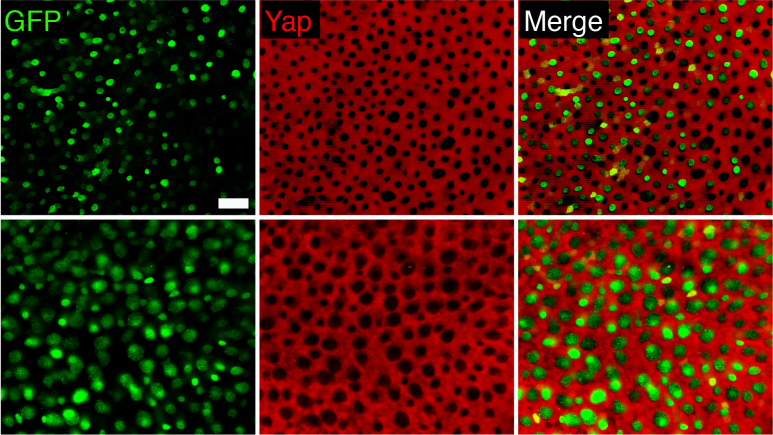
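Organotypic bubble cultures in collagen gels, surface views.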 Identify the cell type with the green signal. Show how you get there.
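Hair cells. Round green nuclei are scattered singly across the epithelium. Each green cell sits in a dark hole of the red network.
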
